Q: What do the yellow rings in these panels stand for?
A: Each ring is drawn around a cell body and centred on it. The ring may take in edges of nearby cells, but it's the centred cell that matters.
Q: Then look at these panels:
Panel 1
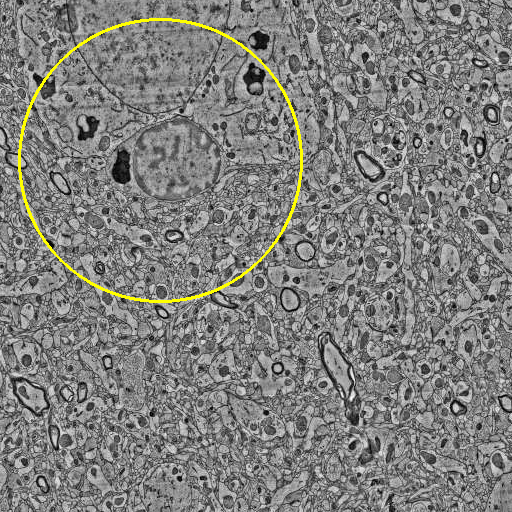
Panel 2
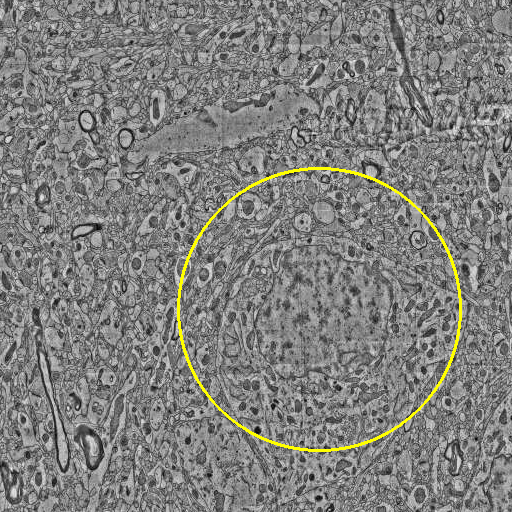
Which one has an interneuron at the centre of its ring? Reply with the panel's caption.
Panel 2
